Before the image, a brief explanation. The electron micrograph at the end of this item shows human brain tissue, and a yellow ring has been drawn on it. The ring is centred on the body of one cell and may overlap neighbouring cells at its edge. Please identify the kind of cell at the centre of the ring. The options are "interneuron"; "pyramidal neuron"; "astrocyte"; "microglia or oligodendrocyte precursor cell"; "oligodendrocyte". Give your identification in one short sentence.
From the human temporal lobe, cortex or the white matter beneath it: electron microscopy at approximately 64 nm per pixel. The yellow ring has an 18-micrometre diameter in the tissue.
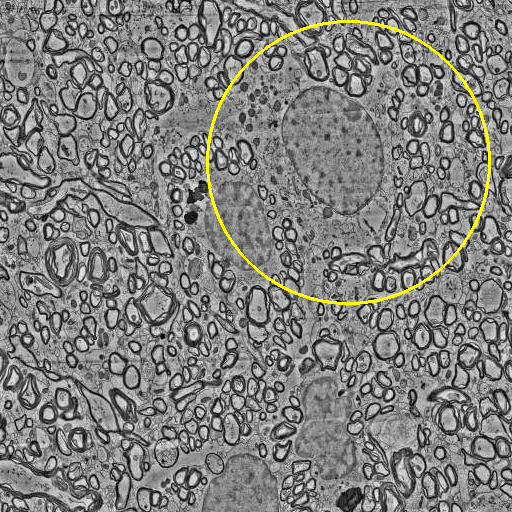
The ring has been placed around an astrocyte.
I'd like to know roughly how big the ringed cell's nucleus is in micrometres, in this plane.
The nucleus comes to roughly 8 by 6 micrometres in this plane.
